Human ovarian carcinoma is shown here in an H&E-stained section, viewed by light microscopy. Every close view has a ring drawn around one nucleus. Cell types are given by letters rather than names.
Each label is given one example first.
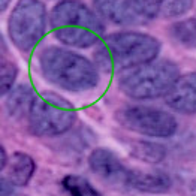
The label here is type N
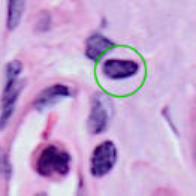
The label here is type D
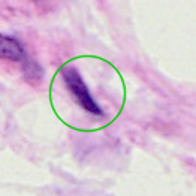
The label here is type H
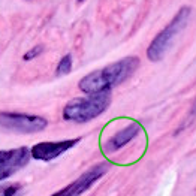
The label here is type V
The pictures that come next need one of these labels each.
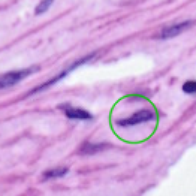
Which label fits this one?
type H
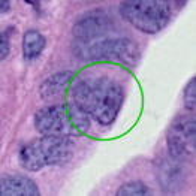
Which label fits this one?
type N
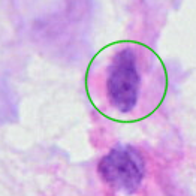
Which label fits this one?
type H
